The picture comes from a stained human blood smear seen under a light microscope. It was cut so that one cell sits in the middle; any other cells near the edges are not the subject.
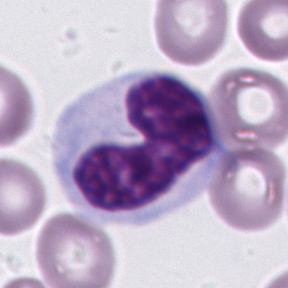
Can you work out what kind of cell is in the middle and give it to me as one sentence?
What the crop centres on is a band neutrophil.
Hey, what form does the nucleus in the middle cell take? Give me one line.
A single compact nucleus, round, oval or kidney-shaped, is what this cell shows.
